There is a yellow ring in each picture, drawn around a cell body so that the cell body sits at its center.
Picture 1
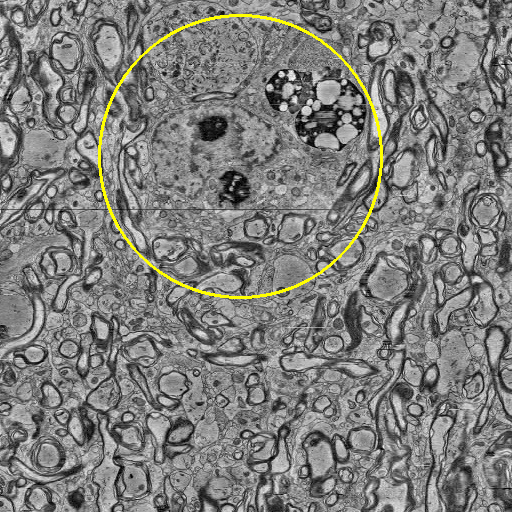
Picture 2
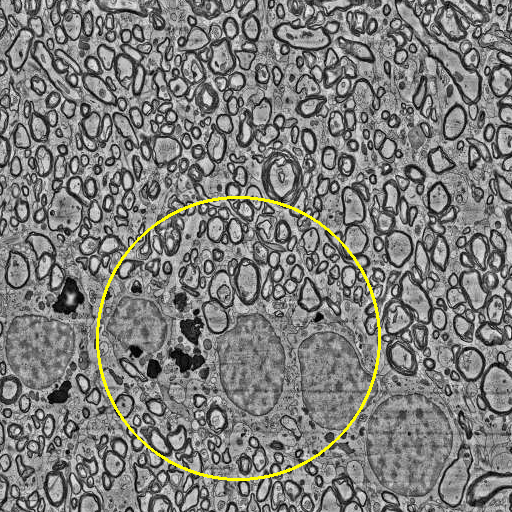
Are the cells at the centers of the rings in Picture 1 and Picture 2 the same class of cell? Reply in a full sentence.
No, the two cells are two classes of cell.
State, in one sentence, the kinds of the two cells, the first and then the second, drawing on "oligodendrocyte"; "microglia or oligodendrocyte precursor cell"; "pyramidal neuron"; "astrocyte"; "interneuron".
The ring in the second picture is centred on an oligodendrocyte, the ring in the first on an astrocyte.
